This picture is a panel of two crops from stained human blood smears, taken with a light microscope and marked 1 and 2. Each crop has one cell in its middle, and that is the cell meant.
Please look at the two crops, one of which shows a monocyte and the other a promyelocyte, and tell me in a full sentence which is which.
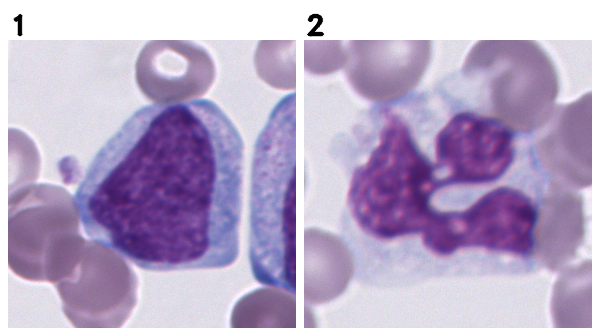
The cell of crop 1 is a promyelocyte; that of crop 2 is a monocyte.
